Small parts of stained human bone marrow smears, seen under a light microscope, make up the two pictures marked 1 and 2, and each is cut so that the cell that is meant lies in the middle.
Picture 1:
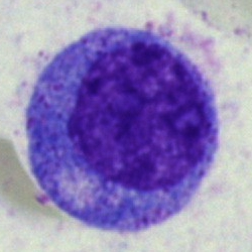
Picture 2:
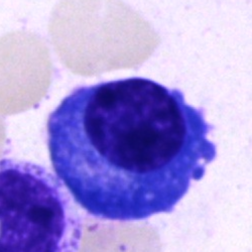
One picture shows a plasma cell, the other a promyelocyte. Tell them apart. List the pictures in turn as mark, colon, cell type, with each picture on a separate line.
1: promyelocyte
2: plasma cell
